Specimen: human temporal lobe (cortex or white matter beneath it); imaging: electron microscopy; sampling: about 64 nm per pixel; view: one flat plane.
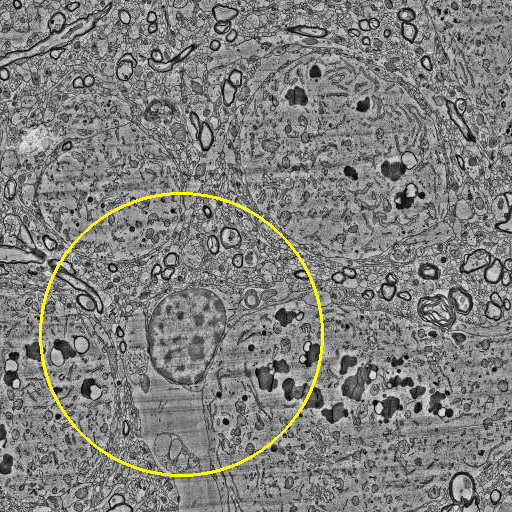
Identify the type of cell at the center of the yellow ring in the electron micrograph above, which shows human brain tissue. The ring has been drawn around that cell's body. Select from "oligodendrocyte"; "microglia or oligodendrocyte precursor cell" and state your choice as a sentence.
The yellow ring is centered on the body of a microglial cell or oligodendrocyte precursor cell.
